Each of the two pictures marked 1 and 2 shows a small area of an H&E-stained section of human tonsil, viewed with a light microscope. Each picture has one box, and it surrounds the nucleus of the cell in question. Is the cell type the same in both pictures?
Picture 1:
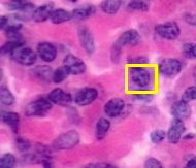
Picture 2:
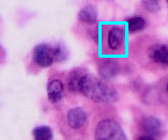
yes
